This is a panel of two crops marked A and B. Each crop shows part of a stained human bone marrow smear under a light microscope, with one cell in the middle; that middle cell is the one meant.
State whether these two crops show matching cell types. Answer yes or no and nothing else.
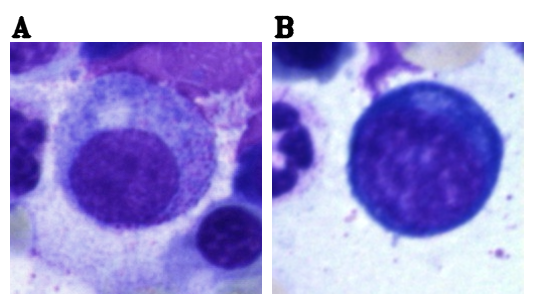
no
